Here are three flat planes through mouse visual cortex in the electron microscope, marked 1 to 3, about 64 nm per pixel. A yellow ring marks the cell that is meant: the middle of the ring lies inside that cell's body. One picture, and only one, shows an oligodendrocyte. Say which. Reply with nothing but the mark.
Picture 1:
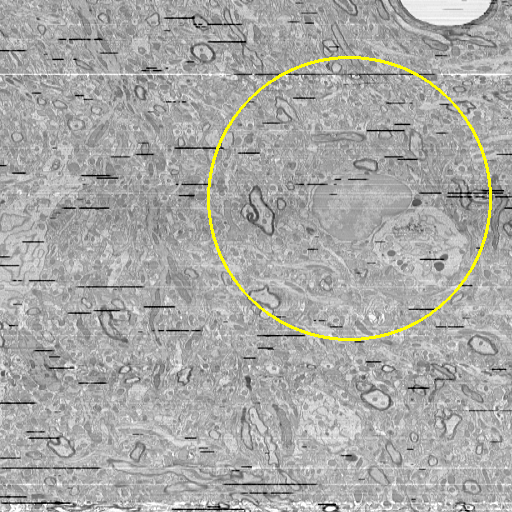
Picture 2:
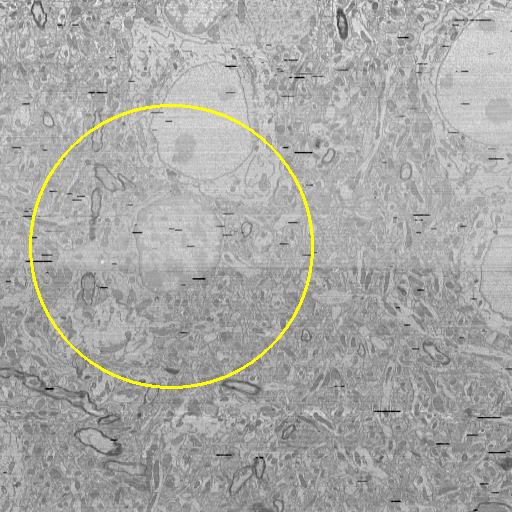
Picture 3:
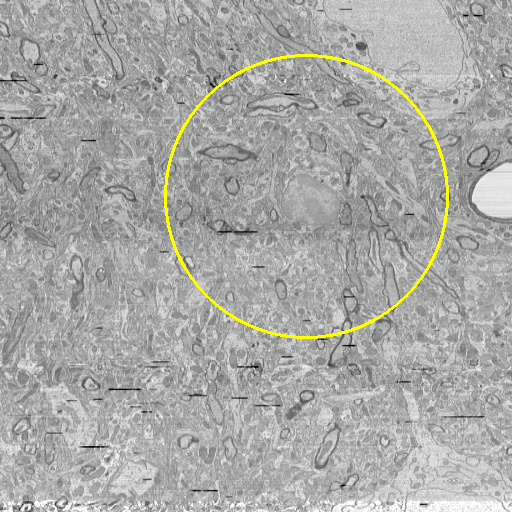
2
